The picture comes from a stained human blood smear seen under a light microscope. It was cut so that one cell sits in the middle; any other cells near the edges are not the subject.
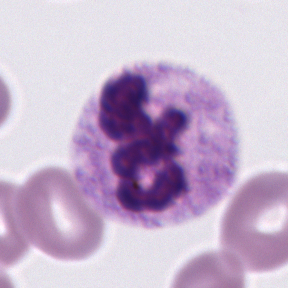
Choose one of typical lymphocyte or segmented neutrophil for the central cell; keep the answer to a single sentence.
The middle of this crop is occupied by a segmented neutrophil.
